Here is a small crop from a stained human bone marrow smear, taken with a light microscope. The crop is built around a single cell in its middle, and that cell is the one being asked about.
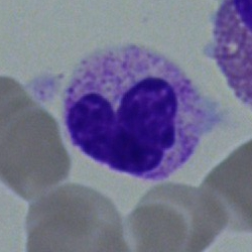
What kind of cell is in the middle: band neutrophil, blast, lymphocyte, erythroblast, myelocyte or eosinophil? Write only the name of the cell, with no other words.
band neutrophil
